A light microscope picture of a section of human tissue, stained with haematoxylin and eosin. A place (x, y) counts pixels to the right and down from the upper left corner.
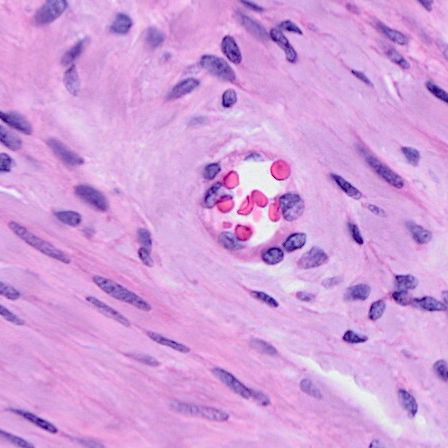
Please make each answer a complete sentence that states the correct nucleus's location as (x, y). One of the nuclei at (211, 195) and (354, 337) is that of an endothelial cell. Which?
At (211, 195) lies the nucleus that belongs to an endothelial cell.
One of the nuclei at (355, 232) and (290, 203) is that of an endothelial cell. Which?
Between the two nuclei, the one sitting at (290, 203) belongs to an endothelial cell.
